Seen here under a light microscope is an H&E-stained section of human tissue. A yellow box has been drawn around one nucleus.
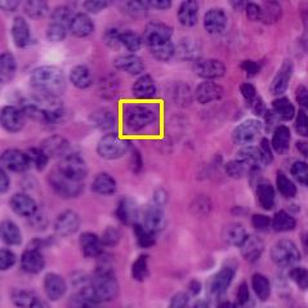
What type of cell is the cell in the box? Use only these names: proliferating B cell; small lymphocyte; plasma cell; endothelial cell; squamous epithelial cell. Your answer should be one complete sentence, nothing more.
With respect to cell type, the cell in the box is a plasma cell.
